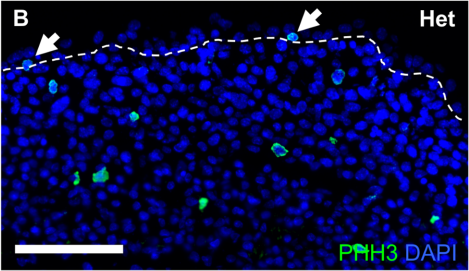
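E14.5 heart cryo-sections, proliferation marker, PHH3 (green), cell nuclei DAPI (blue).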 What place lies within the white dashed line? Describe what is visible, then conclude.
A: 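The dashed line runs just beneath the outermost layer of nuclei. Below the line lies a thick mass of densely packed nuclei. That points to this answer: boundary between the epicardium and myocardium.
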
